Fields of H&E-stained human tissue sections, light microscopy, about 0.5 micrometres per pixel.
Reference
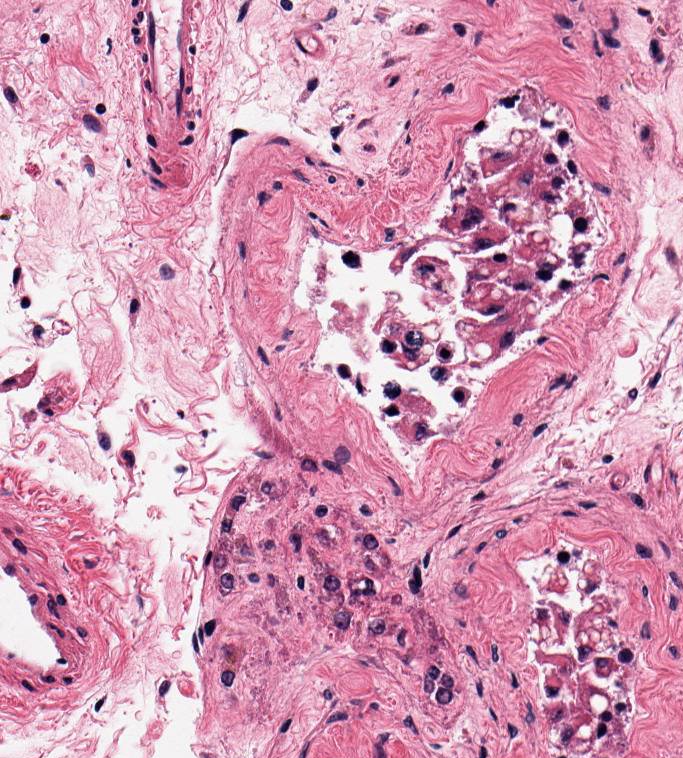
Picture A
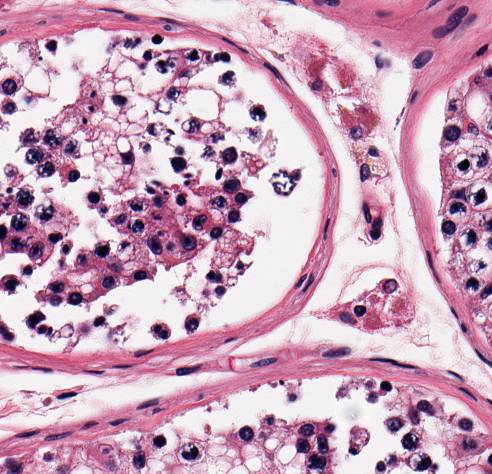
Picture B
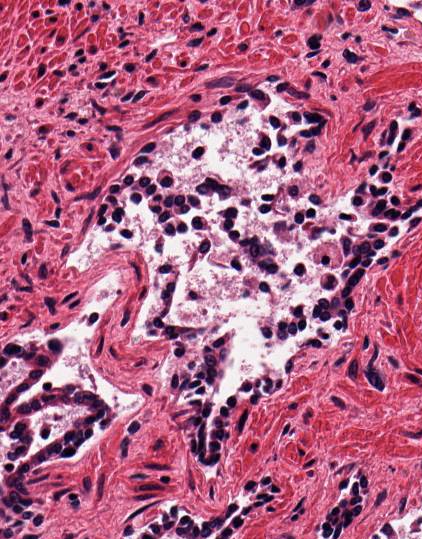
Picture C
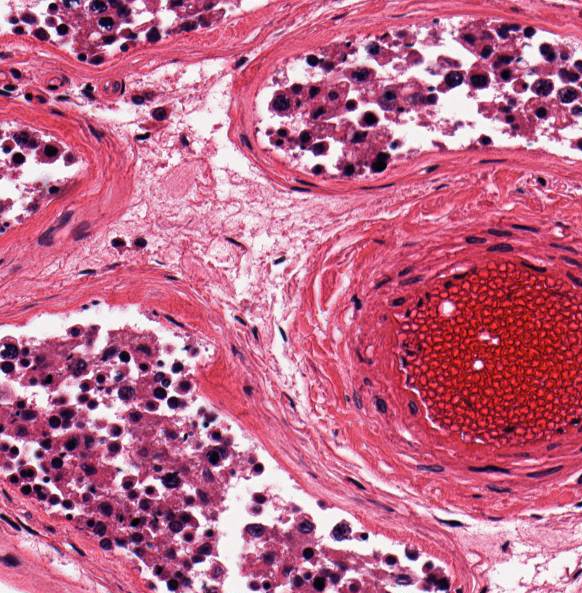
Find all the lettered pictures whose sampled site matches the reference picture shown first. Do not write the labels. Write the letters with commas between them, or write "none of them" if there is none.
A, C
